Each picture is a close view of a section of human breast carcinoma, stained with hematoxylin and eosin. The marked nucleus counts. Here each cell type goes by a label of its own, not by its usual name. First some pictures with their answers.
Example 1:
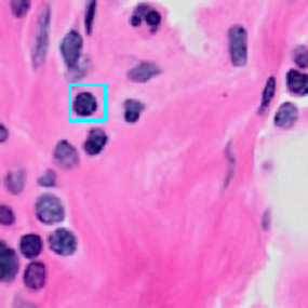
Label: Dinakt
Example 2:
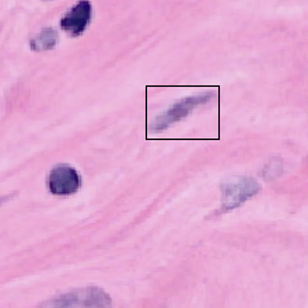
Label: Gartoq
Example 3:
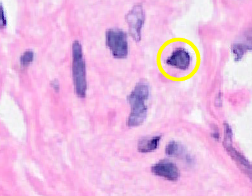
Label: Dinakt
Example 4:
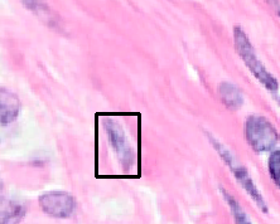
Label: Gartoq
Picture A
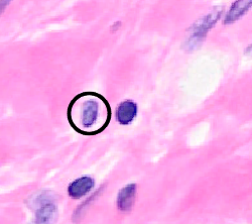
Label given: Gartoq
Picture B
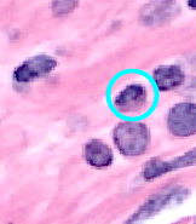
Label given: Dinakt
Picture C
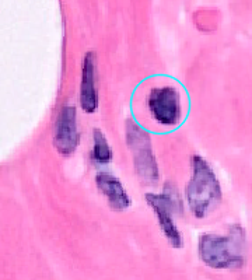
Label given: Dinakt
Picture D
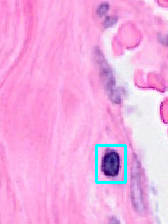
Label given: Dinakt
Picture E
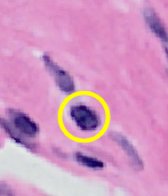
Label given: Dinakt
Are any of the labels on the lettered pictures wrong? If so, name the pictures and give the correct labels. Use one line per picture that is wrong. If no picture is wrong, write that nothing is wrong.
A should be Dinakt, not Gartoq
